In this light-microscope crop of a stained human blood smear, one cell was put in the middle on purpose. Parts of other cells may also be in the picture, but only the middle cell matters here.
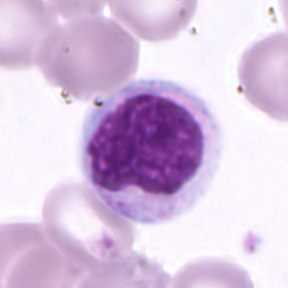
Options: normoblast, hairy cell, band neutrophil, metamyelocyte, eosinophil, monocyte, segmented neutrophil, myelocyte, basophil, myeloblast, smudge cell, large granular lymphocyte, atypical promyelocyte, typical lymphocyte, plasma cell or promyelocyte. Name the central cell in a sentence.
The cell at the central position in this crop is a metamyelocyte.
